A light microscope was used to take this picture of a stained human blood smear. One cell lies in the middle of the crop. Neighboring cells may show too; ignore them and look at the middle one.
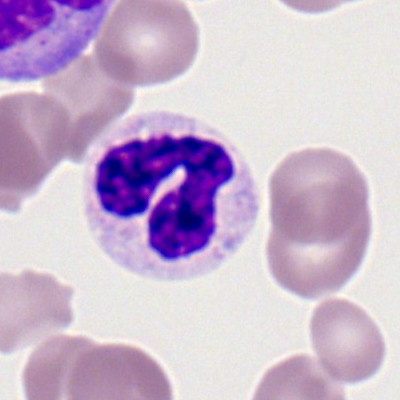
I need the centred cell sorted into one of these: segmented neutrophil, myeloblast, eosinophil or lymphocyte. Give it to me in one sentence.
As for the central cell, it is a segmented neutrophil.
